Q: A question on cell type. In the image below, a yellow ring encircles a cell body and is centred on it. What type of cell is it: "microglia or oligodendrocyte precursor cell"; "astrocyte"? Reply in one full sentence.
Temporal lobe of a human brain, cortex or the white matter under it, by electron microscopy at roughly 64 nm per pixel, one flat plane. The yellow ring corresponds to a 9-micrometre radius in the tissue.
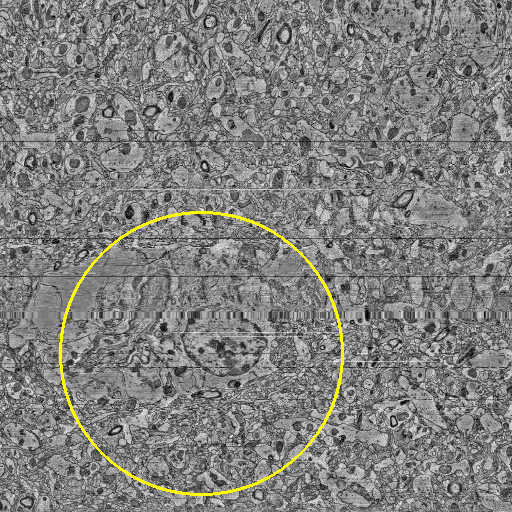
It is a microglial cell or oligodendrocyte precursor cell whose cell body sits at the centre of the yellow ring in the image.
